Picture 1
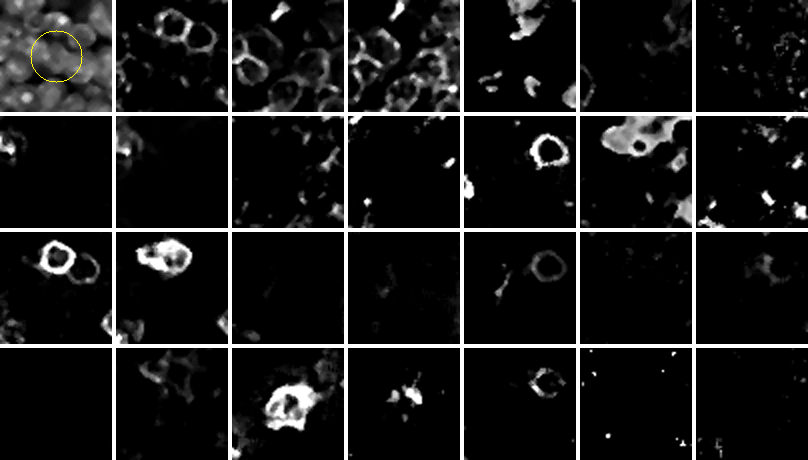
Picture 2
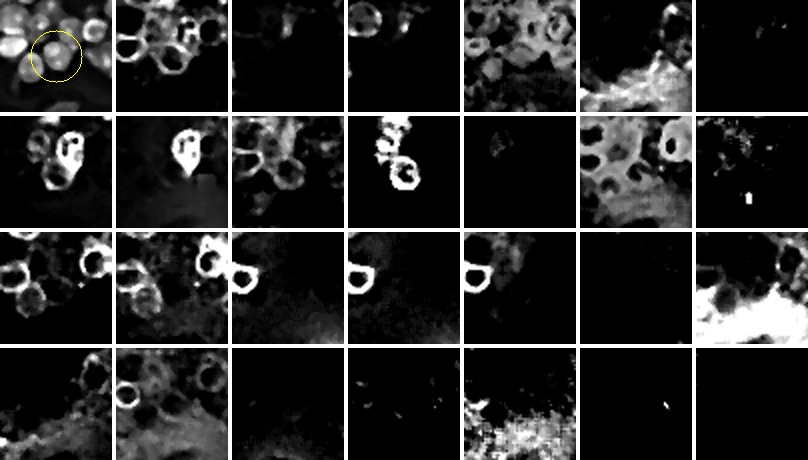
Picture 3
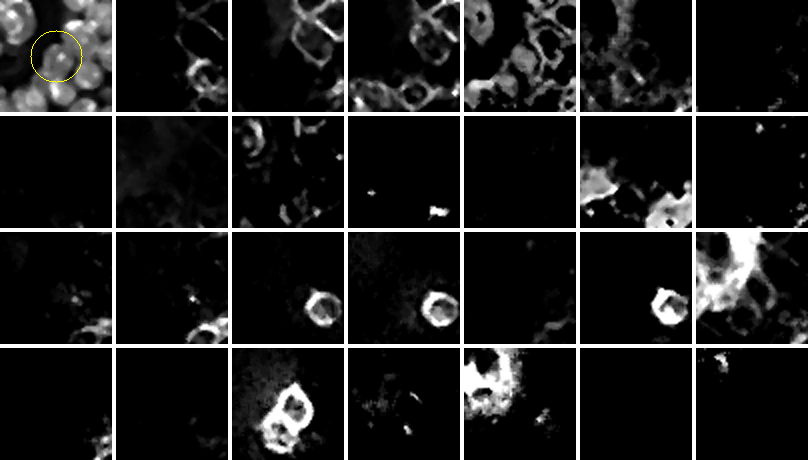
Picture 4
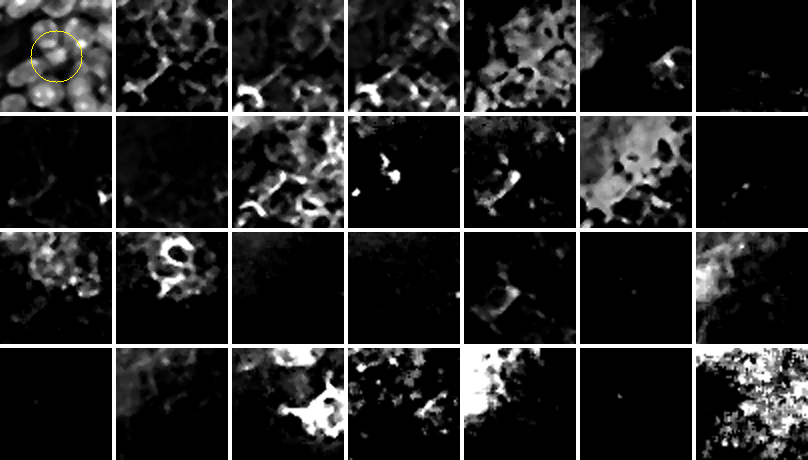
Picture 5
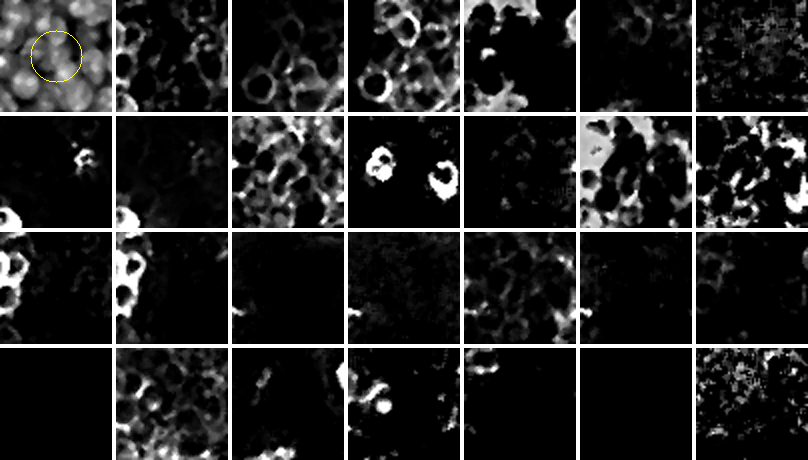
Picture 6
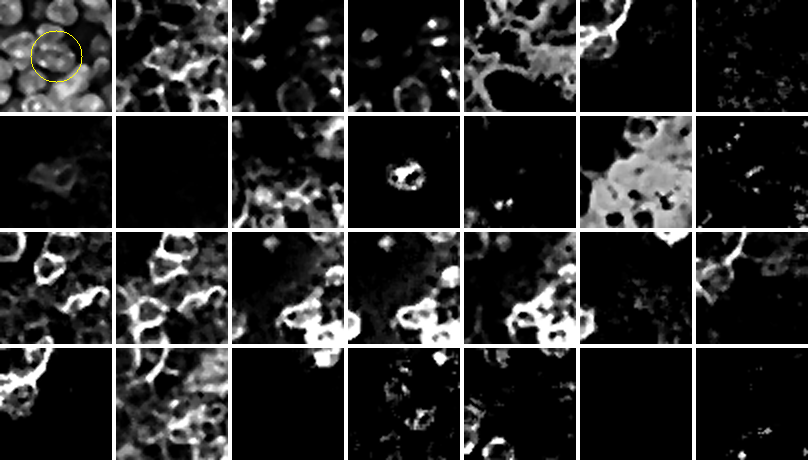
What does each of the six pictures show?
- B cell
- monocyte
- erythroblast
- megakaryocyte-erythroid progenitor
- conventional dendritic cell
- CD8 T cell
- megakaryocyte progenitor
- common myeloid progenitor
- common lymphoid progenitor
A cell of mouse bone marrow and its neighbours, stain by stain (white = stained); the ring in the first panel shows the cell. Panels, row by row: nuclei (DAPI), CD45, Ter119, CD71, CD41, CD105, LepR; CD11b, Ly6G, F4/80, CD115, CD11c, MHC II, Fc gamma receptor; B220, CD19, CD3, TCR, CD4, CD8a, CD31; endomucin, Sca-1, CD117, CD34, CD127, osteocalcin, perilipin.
1. common myeloid progenitor
2. monocyte
3. megakaryocyte-erythroid progenitor
4. megakaryocyte progenitor
5. erythroblast
6. monocyte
